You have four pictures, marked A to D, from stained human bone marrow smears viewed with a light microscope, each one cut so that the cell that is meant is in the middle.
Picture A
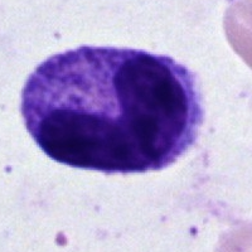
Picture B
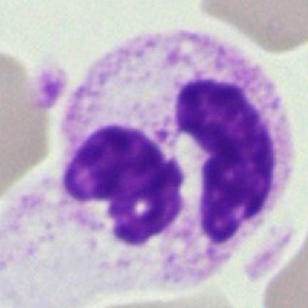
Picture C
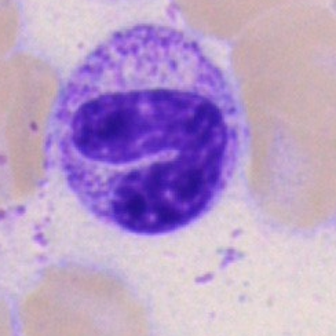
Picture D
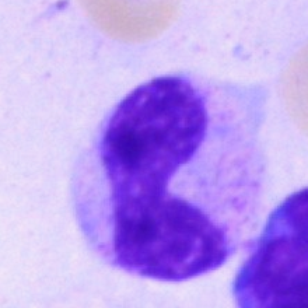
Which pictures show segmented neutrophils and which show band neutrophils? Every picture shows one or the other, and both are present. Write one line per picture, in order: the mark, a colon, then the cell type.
A: band neutrophil
B: segmented neutrophil
C: band neutrophil
D: band neutrophil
